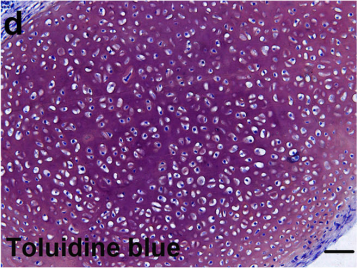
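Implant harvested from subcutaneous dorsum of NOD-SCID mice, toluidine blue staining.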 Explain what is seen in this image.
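This is cartilage with chondrocytes lying singly in clear lacunae, embedded in a dense matrix stained deep purple. The cells are round to oval and evenly distributed, and toward the upper left edge the matrix is paler and bordered by flatter bluish cells of a fibrous covering layer.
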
